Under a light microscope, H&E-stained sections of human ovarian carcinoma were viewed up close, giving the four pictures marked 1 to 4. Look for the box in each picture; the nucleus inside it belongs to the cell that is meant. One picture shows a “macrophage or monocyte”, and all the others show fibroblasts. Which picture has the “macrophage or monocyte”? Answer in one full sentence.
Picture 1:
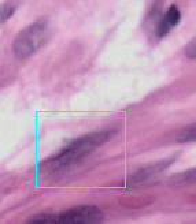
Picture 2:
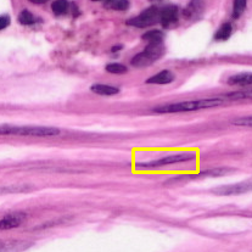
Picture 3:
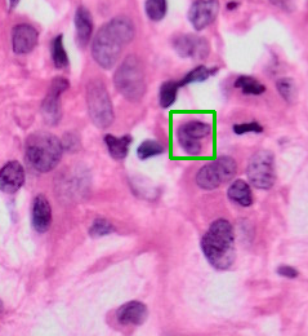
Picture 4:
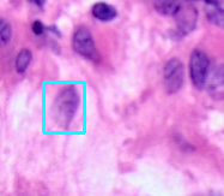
Picture 3 is the one that shows the “macrophage or monocyte”.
